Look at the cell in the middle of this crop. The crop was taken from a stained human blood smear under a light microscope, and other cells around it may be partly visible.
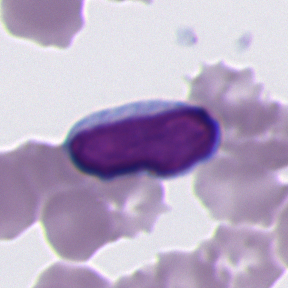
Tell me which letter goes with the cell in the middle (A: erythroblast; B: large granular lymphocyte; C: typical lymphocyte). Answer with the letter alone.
C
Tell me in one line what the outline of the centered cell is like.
Smooth edges only, with no spikes, blebs, or other projections.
